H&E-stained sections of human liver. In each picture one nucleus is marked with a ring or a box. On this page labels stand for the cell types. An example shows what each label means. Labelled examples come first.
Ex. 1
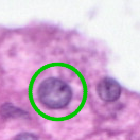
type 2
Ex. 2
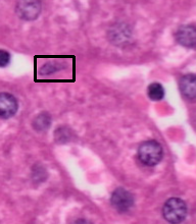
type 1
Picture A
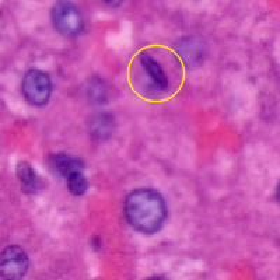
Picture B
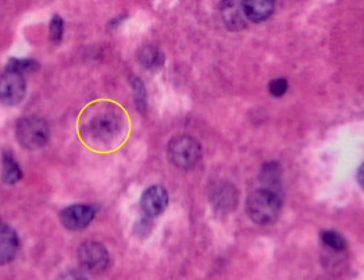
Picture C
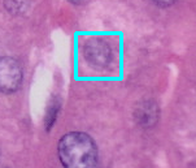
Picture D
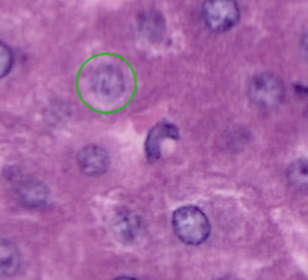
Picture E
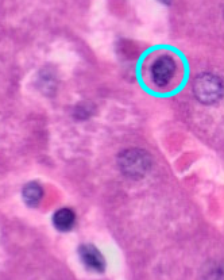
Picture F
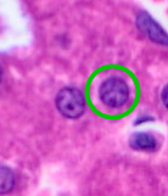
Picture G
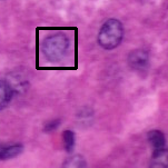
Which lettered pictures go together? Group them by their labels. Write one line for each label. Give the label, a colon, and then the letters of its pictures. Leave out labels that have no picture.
type 2: B, C, D, F, G
type 1: A, E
